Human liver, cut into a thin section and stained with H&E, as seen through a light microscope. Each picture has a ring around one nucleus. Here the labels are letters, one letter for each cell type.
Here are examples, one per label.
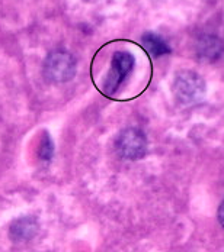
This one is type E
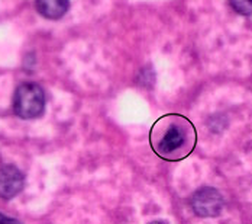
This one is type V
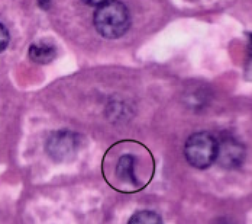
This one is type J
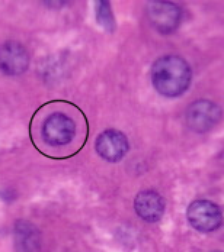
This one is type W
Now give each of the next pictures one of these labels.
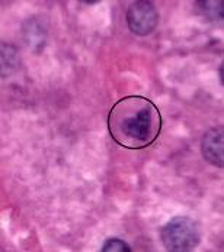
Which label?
type V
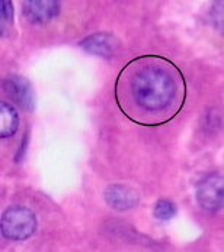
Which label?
type W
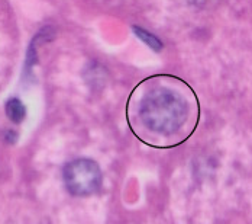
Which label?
type W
